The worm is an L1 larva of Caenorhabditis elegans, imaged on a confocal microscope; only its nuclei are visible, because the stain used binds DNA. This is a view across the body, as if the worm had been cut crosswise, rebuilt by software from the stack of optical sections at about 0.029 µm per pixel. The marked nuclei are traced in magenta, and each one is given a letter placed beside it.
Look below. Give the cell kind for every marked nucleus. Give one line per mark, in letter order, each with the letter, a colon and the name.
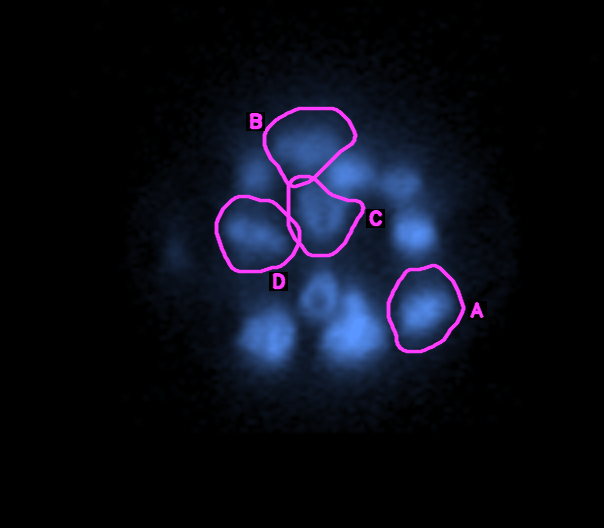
A: body wall muscle cell
B: seam cell
C: pharyngeal muscle cell
D: pharyngeal epithelial cell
